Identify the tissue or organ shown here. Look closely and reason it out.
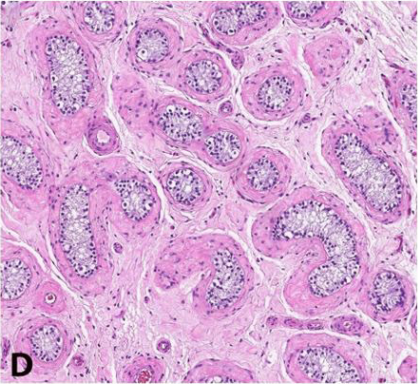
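Seminiferous tubules. Rounded and elongated tubular profiles cut in cross and oblique section.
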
